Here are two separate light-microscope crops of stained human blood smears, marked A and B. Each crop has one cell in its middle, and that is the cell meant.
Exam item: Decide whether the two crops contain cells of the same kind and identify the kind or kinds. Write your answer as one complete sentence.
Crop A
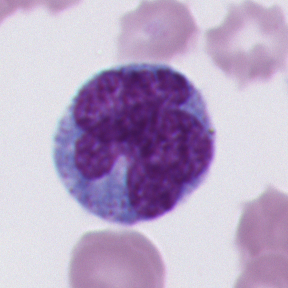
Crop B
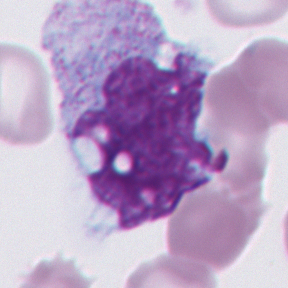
Yes, both crops depict monocytes at the centre.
